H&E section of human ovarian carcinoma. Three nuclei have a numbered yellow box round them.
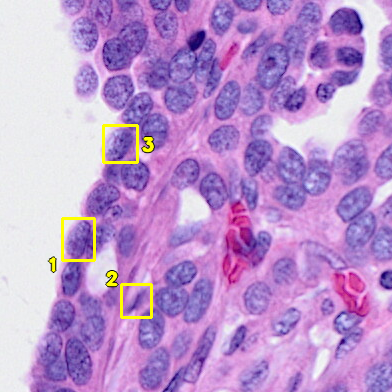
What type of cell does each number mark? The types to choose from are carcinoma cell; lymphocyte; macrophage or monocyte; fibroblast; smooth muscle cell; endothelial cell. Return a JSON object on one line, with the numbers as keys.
{"1": "carcinoma cell", "2": "fibroblast", "3": "carcinoma cell"}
